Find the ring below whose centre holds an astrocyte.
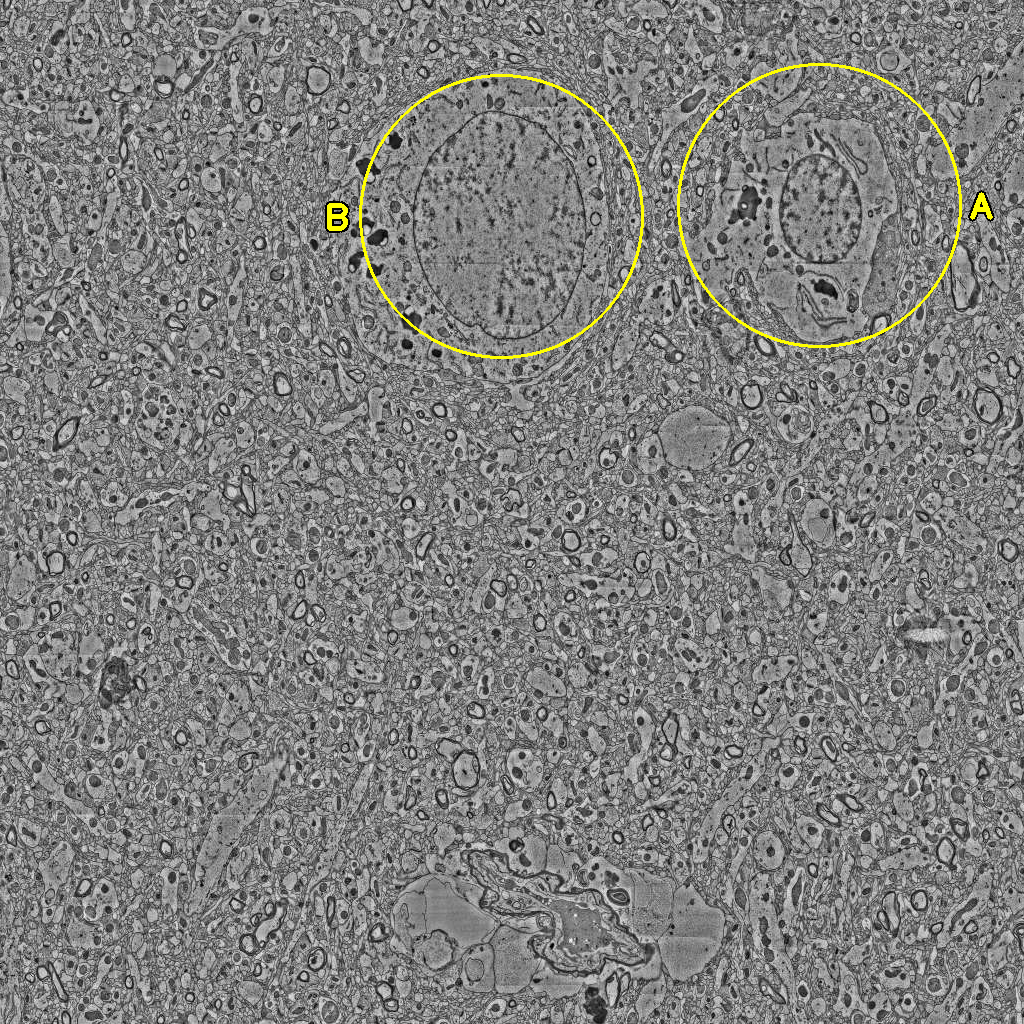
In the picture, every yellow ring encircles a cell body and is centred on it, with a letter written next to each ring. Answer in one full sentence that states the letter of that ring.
The ring centred on the cell asked for in the picture carries the letter A.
